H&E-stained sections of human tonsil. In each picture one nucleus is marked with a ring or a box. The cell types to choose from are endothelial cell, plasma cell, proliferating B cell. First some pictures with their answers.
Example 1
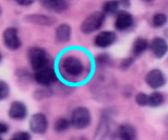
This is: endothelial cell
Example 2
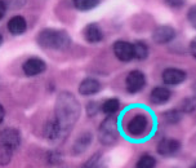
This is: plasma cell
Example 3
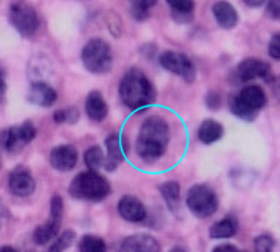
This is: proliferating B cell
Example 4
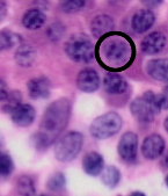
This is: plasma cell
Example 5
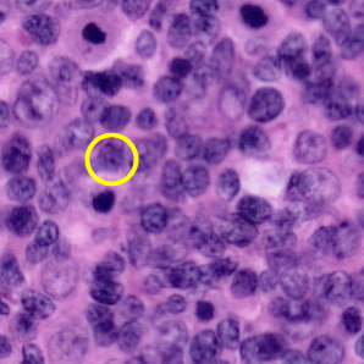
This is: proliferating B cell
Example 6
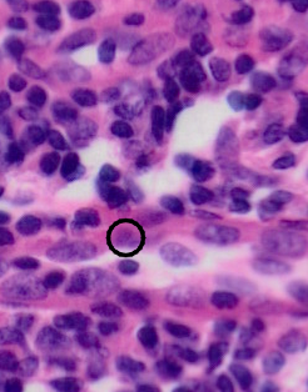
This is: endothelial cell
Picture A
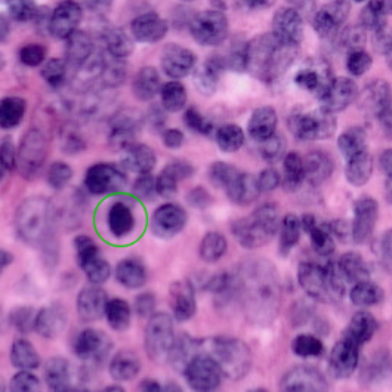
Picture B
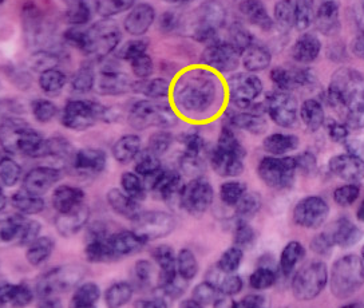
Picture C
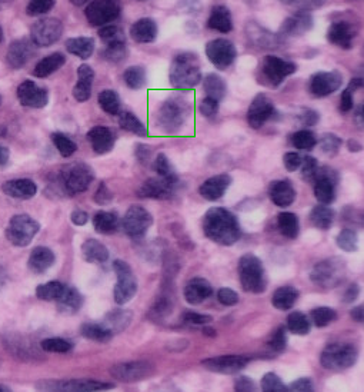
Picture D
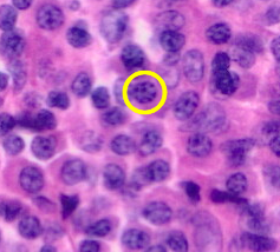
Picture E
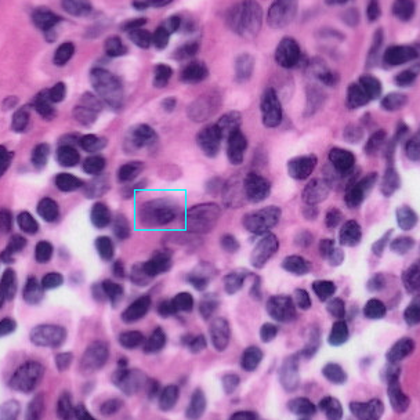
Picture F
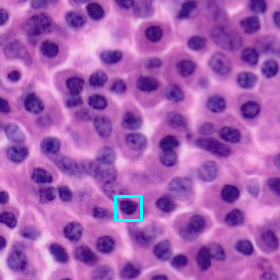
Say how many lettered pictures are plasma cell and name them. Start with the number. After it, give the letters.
Count: 2 (D, F)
